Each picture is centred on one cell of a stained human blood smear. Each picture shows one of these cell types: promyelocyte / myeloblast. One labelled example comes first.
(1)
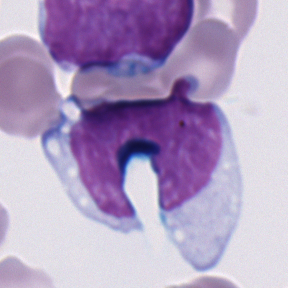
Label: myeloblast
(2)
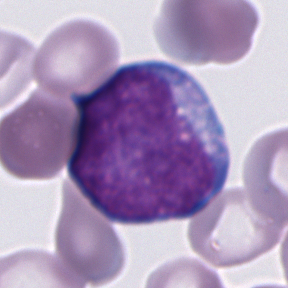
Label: myeloblast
